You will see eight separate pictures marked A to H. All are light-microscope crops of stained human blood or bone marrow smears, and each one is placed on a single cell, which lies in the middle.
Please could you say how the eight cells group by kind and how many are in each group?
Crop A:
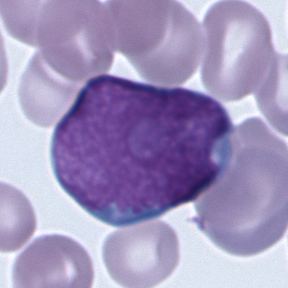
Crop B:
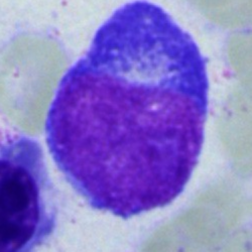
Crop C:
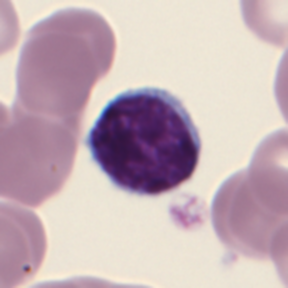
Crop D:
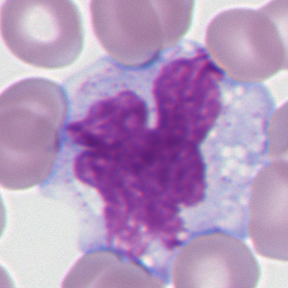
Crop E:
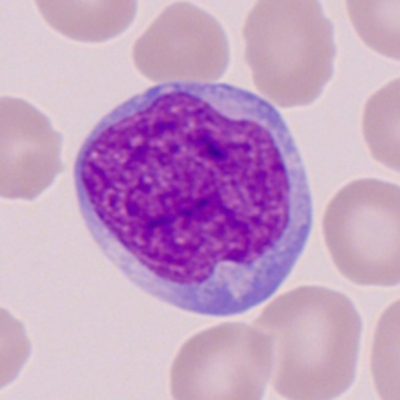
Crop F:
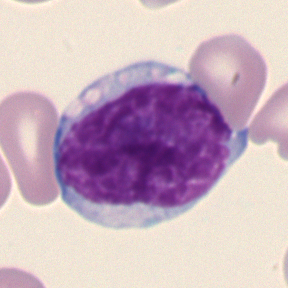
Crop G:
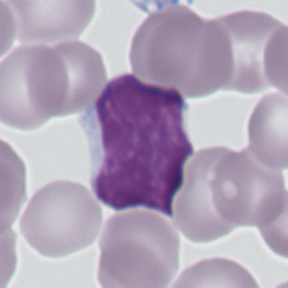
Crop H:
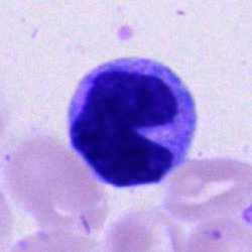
blast: 4
lymphocyte: 2
monocyte: 2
